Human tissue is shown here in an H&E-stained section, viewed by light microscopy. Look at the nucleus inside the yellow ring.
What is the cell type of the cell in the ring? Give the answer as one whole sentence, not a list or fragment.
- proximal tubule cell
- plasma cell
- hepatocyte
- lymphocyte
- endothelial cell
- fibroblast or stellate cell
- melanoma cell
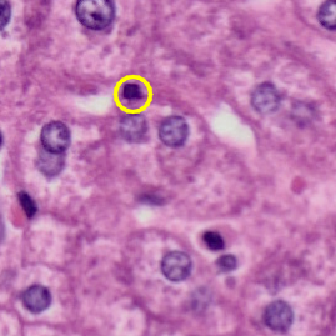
Labelled by cell type, the cell in the ring is a fibroblast or stellate cell.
